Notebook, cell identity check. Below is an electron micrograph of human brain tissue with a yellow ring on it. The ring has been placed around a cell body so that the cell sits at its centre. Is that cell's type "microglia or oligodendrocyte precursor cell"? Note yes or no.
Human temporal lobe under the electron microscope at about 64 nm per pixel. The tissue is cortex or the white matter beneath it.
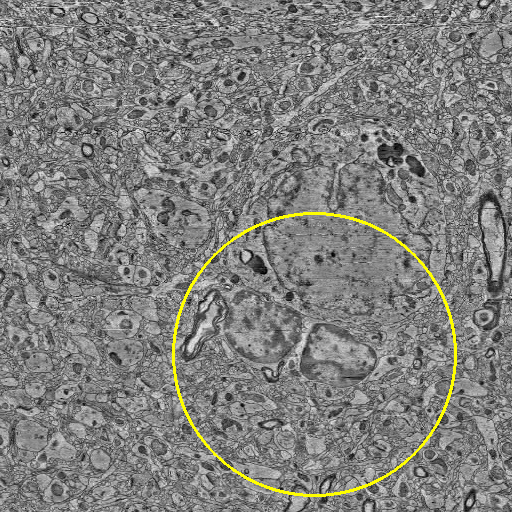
Yes, that is its cell type.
